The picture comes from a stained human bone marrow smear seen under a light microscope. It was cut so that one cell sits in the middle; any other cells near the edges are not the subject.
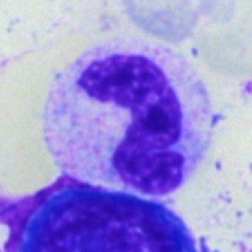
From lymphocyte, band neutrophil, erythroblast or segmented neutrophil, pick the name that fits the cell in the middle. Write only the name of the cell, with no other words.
band neutrophil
